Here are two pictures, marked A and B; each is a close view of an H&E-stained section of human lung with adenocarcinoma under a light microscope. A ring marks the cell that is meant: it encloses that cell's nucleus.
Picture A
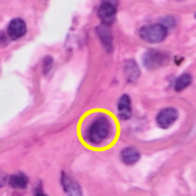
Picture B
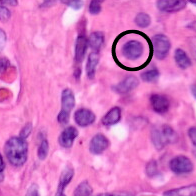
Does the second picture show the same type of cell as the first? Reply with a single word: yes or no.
no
